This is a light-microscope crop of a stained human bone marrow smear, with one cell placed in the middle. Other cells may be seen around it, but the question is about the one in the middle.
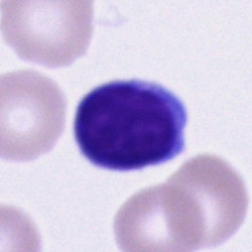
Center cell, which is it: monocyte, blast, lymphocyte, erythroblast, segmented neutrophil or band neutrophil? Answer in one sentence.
The cell occupying the middle of the crop is a lymphocyte.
